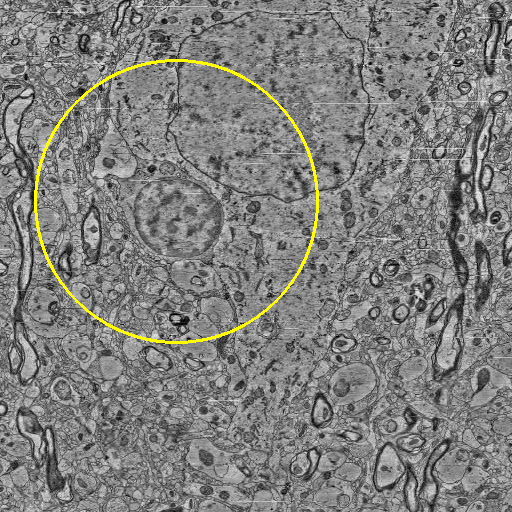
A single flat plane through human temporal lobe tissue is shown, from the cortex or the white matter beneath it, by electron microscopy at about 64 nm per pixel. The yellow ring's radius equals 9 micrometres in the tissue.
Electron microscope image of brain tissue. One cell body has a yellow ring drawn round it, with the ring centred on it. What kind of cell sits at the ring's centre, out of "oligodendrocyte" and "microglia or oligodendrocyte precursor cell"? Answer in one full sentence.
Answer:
It is an oligodendrocyte whose cell body sits at the centre of the yellow ring.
